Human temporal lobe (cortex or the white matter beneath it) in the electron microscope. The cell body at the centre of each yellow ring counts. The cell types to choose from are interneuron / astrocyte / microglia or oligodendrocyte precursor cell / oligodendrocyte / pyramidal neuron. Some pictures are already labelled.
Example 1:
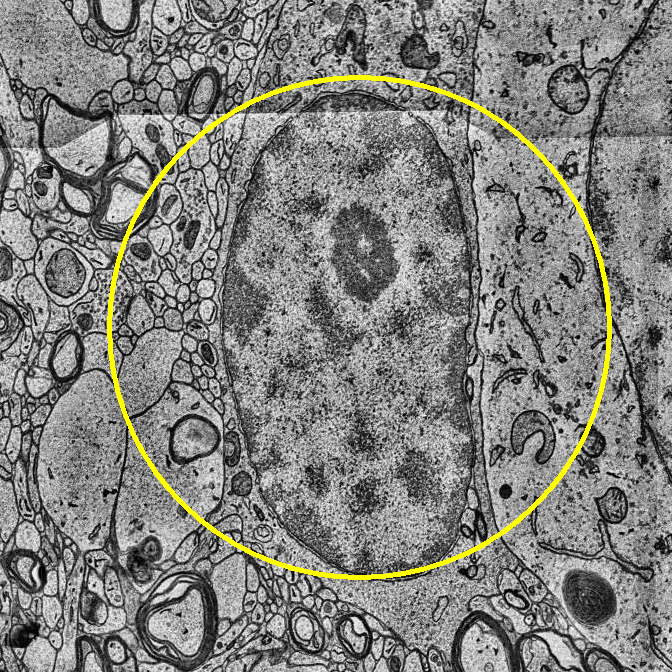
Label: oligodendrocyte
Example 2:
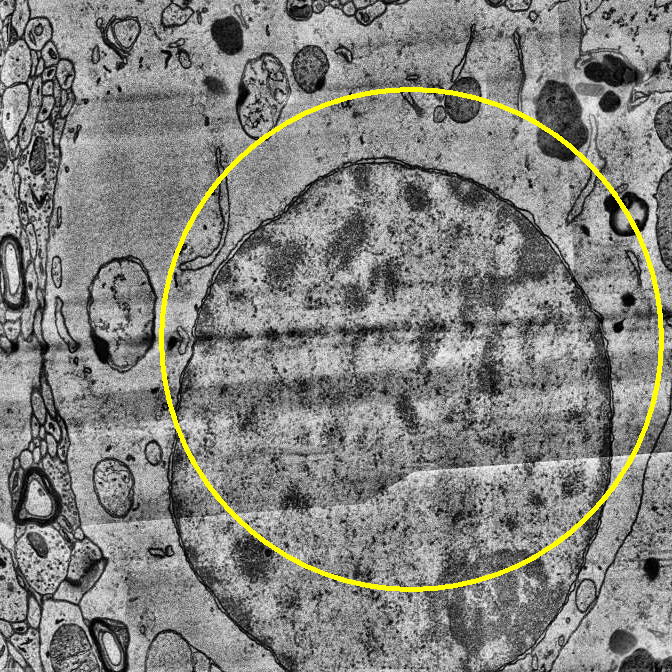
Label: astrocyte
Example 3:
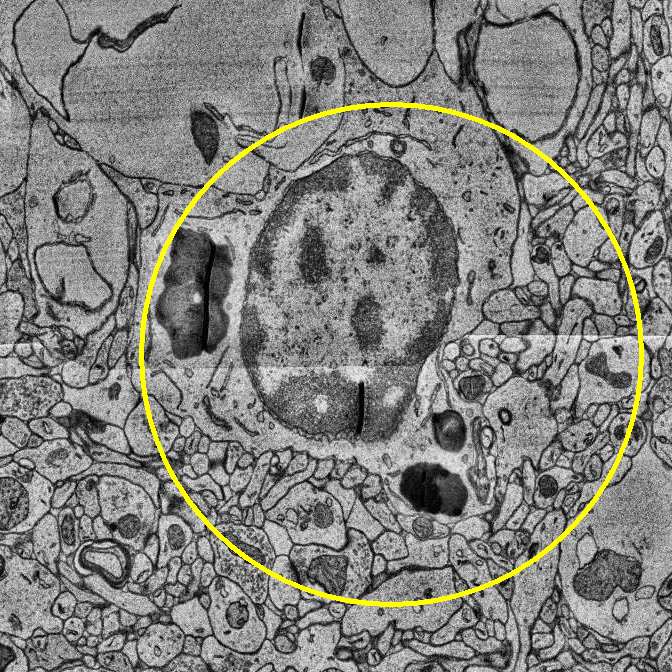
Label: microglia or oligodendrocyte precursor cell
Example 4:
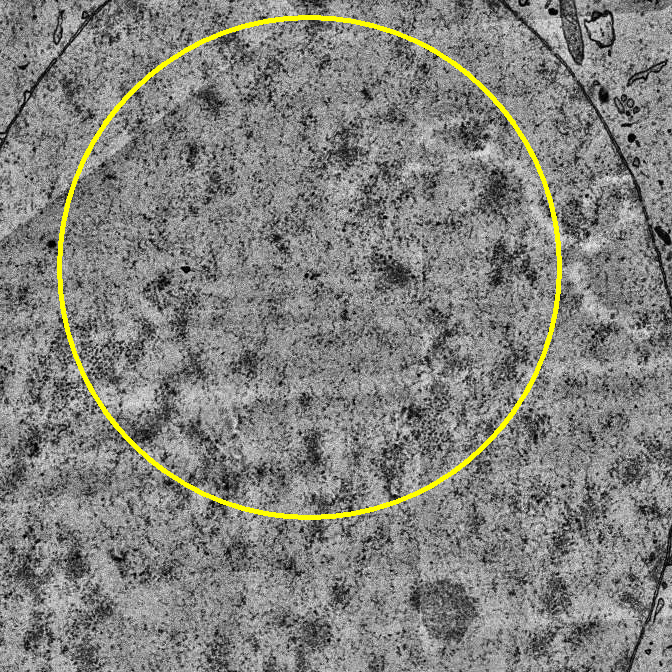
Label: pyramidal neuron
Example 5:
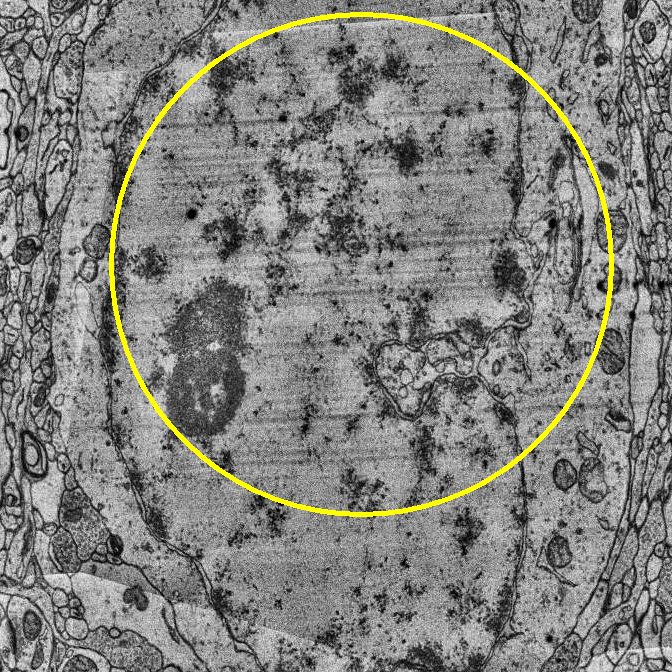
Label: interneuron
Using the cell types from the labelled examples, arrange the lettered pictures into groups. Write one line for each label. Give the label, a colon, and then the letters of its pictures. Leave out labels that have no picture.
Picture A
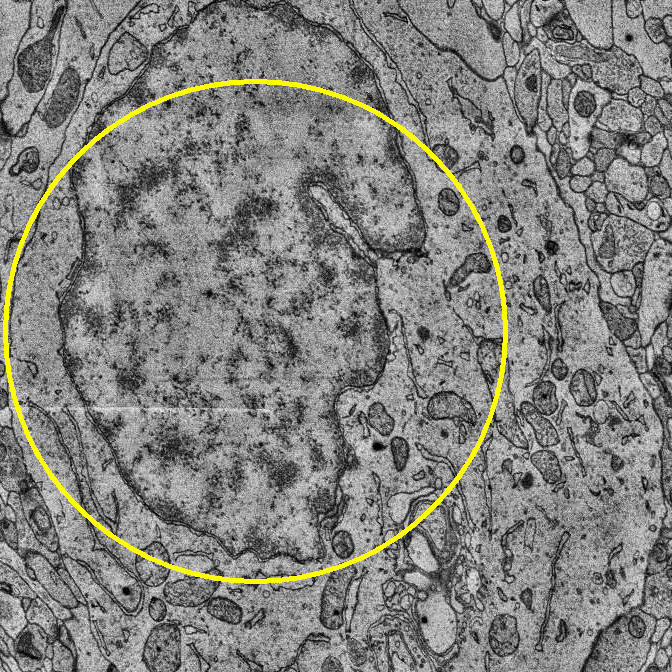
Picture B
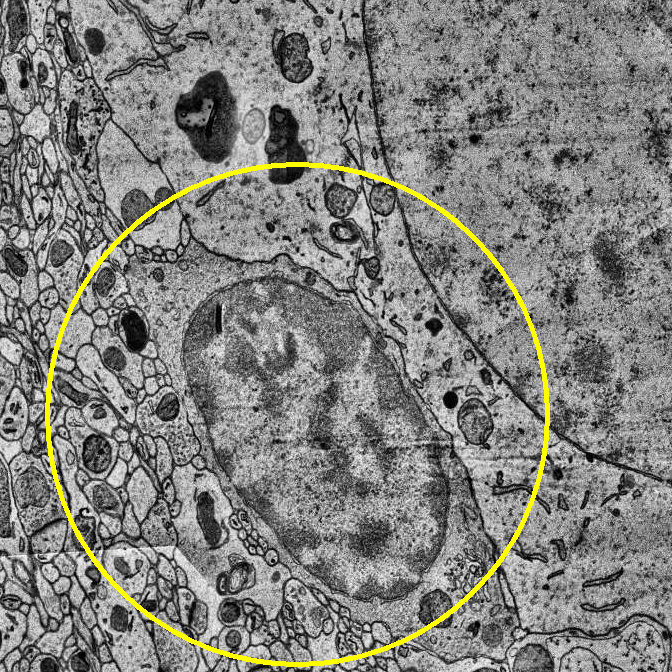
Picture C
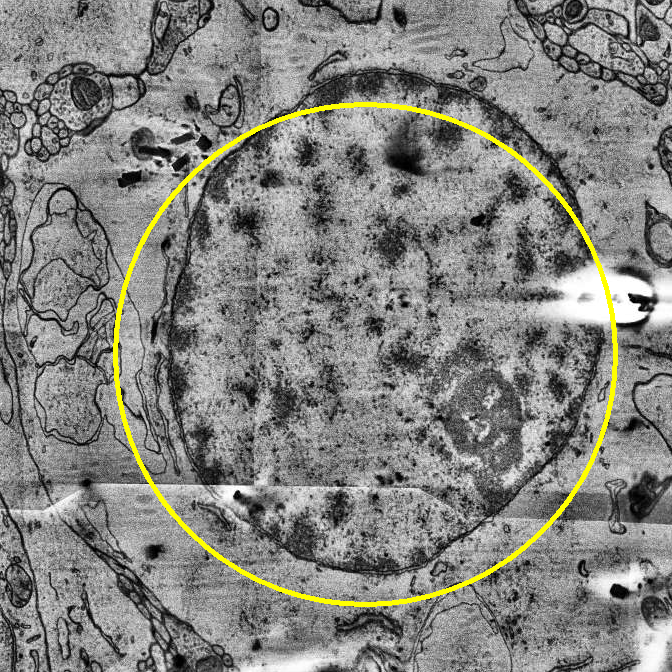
interneuron: A
astrocyte: C
oligodendrocyte: B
